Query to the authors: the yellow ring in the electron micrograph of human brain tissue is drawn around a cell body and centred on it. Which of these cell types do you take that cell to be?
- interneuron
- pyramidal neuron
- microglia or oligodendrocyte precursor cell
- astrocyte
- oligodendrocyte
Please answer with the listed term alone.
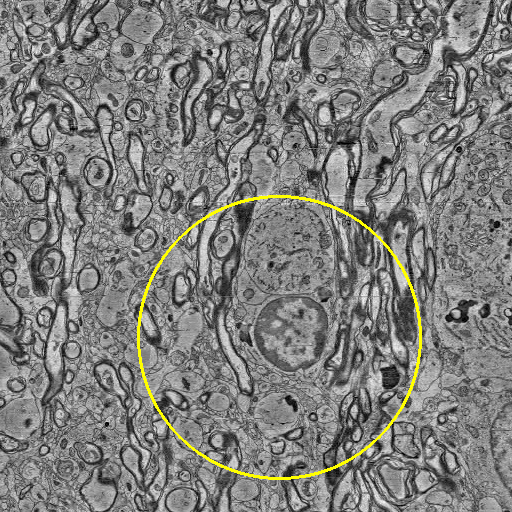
microglia or oligodendrocyte precursor cell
